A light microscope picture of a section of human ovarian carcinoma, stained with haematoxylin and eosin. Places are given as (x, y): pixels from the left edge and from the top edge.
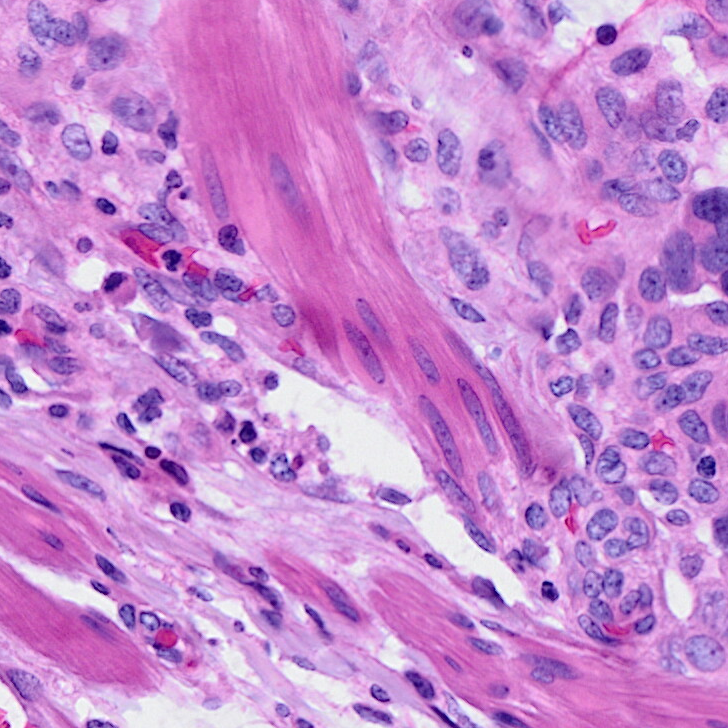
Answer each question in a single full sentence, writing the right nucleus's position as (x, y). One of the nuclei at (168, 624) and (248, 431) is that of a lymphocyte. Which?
Heads up, the nucleus at (248, 431) is the one that belongs to a lymphocyte.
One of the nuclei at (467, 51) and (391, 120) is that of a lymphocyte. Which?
Of the two nuclei, the nucleus of a lymphocyte is at (467, 51).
